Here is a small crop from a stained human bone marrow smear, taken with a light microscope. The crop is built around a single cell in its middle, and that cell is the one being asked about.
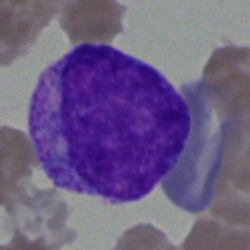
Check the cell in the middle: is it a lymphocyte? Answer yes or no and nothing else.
no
